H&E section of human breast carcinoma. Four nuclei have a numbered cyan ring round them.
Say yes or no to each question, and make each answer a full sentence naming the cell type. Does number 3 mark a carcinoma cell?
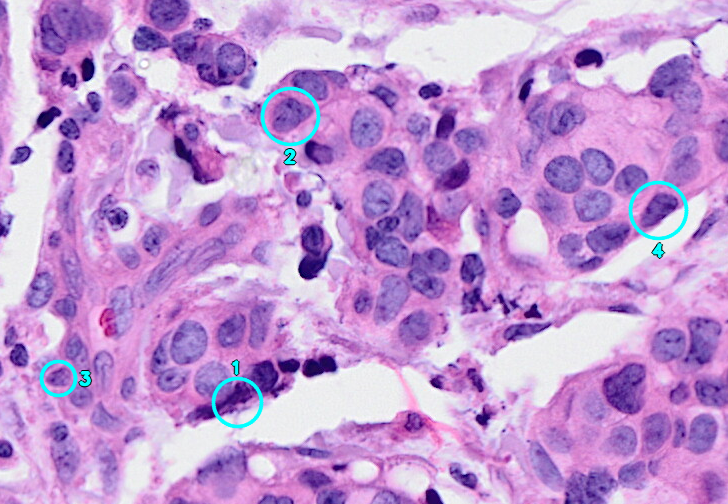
No, with respect, cell 3 is an endothelial cell rather than a carcinoma cell.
